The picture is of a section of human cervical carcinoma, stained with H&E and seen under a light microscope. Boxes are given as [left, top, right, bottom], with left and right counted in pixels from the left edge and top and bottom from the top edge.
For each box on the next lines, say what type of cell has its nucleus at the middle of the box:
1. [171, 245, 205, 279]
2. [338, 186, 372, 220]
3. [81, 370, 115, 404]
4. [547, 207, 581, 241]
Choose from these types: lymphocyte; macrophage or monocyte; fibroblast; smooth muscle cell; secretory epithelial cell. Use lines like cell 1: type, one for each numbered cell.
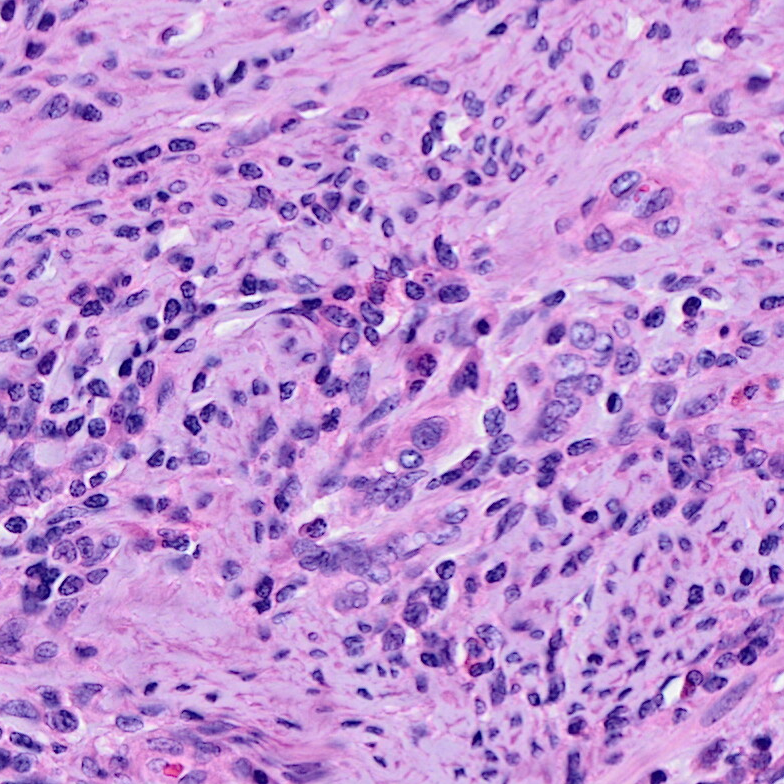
cell 1: lymphocyte
cell 2: lymphocyte
cell 3: lymphocyte
cell 4: smooth muscle cell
